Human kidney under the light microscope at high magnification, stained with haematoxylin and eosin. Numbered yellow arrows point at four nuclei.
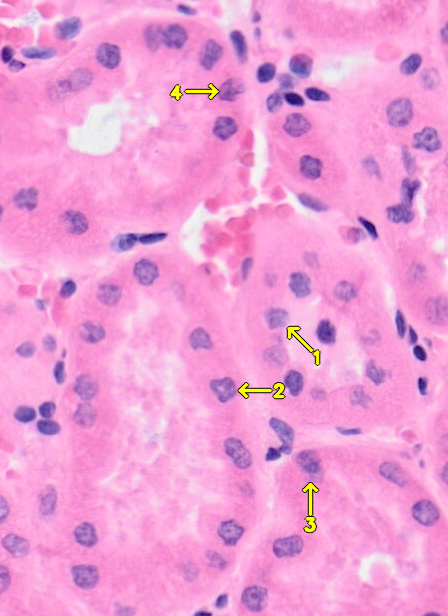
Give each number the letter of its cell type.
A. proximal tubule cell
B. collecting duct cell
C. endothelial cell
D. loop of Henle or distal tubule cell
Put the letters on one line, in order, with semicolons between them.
D; A; A; A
